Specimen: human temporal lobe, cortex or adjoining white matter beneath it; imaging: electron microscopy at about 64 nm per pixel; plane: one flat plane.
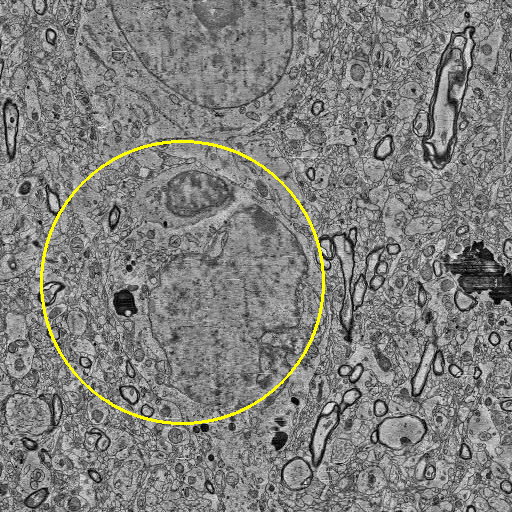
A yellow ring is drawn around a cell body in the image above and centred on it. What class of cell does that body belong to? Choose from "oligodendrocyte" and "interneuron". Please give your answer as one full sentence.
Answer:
The yellow ring above is centred on the cell body of an interneuron.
